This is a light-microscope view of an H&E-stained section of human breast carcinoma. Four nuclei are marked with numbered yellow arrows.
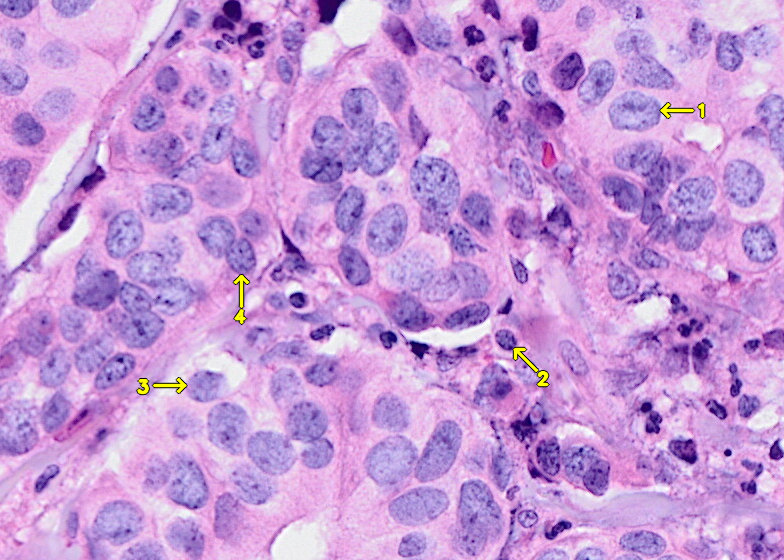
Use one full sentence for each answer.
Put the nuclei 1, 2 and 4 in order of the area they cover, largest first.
The nuclei rank 1, 4, 2, from largest to smallest.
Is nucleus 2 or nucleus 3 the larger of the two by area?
Of the two, number 3 is bigger and takes up about 3 times the area of number 2.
